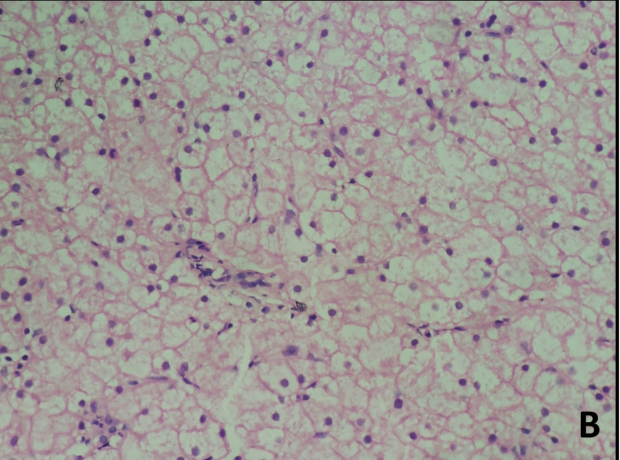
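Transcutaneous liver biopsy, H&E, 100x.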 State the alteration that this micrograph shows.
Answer: clear cytoplasm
